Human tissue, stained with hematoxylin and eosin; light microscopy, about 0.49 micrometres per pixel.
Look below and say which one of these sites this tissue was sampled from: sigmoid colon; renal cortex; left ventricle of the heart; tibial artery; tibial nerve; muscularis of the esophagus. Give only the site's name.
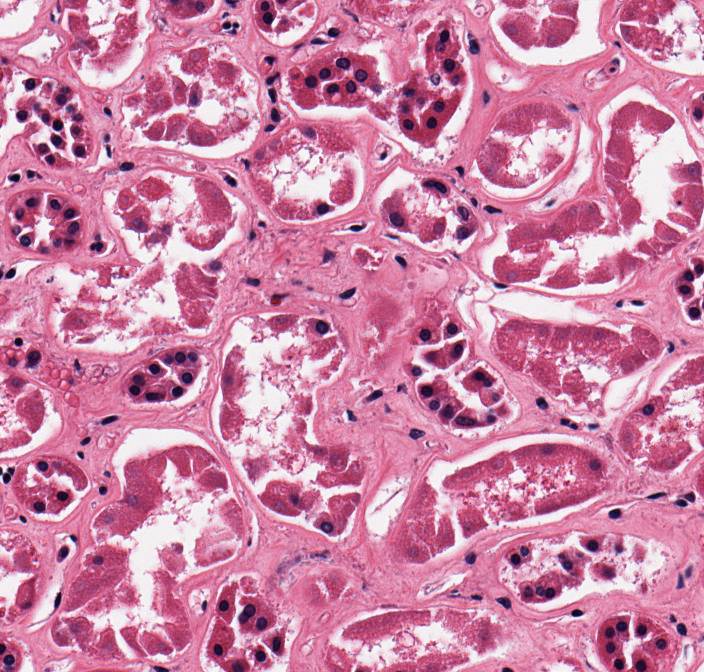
renal cortex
